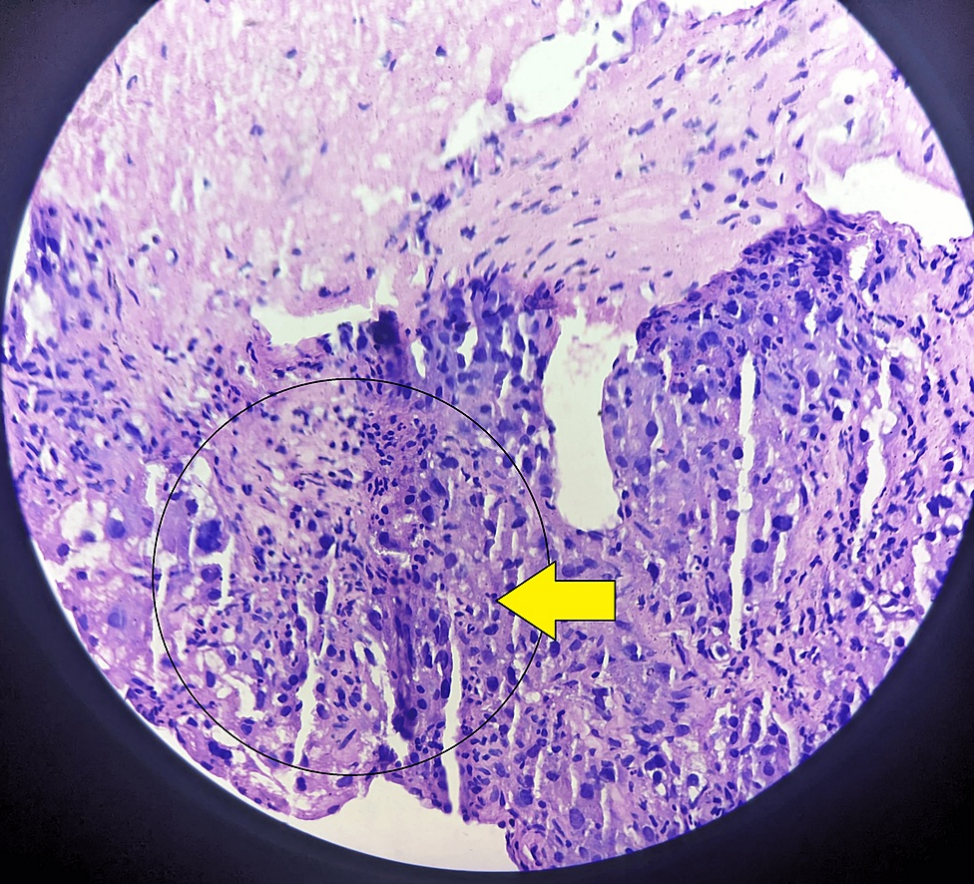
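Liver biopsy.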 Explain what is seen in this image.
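The cords are separated by narrow slit-like clear spaces and run roughly vertically. The cells are polygonal, with pink, eosinophilic cytoplasm and round to oval, dark-staining nuclei. A few nuclei are enlarged. The upper part of the field is pale pink, loose fibrous stroma containing scattered spindle-shaped nuclei.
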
